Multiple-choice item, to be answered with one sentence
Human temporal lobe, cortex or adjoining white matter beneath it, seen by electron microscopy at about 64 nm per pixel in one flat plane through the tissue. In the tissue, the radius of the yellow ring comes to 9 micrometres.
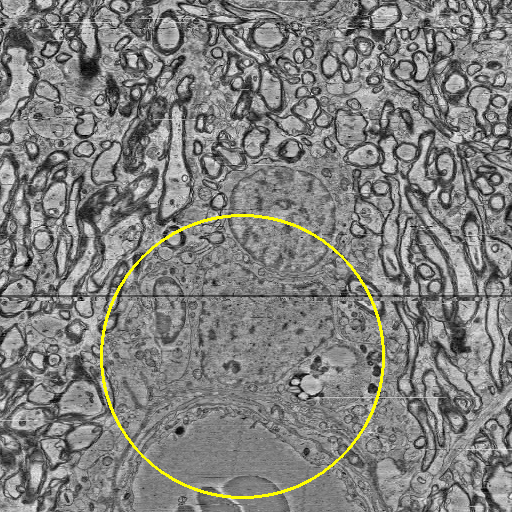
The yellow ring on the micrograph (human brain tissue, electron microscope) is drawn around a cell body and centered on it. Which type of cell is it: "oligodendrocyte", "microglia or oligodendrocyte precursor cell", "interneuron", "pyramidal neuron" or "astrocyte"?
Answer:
The ring is centered on an astrocyte.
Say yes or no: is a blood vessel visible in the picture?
Yes, a vessel appears in the picture.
